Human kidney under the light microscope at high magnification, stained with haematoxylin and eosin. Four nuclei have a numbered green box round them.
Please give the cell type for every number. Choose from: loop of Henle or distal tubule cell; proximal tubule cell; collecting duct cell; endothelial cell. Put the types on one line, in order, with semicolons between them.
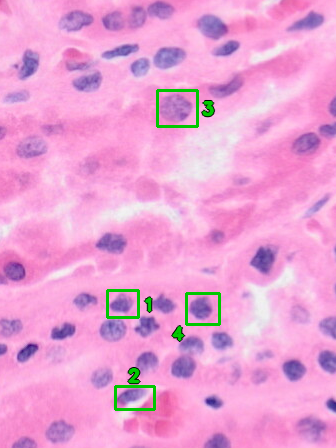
loop of Henle or distal tubule cell; endothelial cell; proximal tubule cell; loop of Henle or distal tubule cell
